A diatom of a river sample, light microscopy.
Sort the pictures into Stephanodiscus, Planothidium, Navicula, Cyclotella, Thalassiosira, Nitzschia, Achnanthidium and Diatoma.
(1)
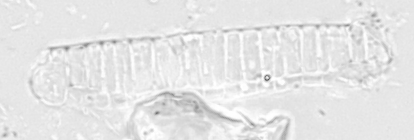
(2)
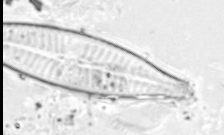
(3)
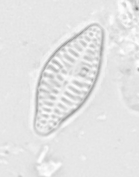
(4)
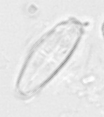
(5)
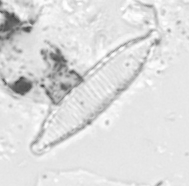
Diatoma: 1
Navicula: 2
Planothidium: 3
Achnanthidium: 4
Nitzschia: 5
